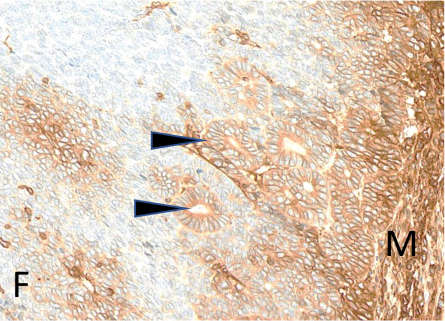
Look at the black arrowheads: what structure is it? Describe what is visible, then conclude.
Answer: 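Columnar cells arranged radially around small central lumens. Cell borders outlined in brown. Form tubule-like profiles between unstained and strongly stained zones. On this evidence: tubular epithelial structures.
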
